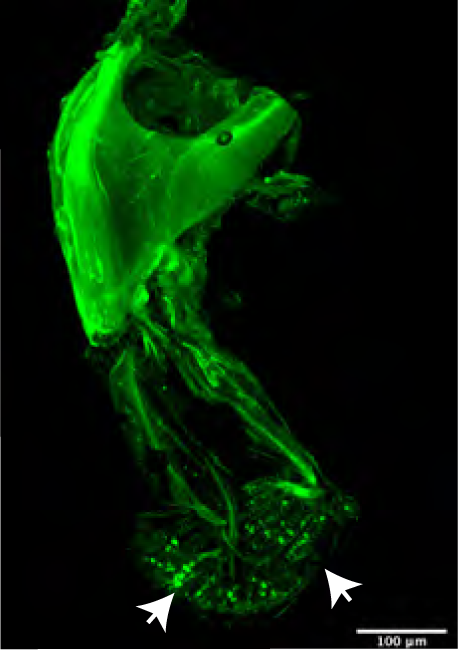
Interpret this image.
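This is a whole-mount fluorescence view of a fly proboscis, with green signal running from the broad base down to the rounded labellum at the tip. The upper part is a large, brightly outlined cuticular structure. Thin green fibres run along the length of the proboscis toward the tip. In the labellar lobes at the bottom there are many small, bright green dots, clustered at the ends of these fibres.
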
